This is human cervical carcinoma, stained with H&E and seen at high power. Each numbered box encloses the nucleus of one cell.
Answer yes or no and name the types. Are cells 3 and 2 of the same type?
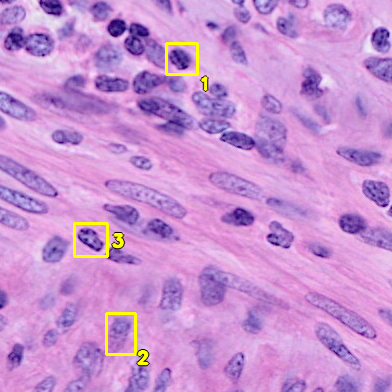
No, cell 3 is a lymphocyte and cell 2 is a smooth muscle cell.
